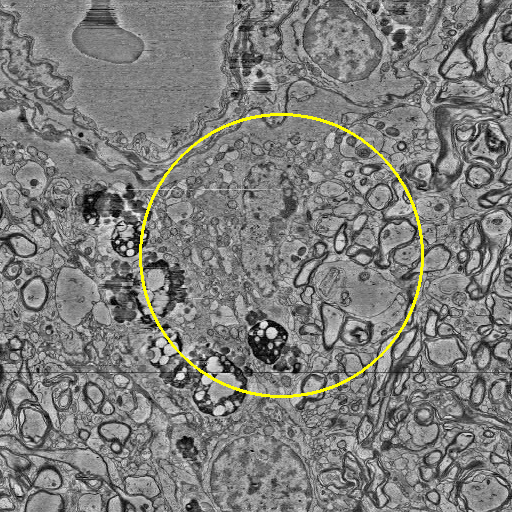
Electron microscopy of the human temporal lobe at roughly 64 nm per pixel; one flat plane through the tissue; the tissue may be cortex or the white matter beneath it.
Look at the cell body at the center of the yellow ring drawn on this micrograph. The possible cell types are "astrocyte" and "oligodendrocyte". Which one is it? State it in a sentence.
The cell in the middle of the ring is an astrocyte.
